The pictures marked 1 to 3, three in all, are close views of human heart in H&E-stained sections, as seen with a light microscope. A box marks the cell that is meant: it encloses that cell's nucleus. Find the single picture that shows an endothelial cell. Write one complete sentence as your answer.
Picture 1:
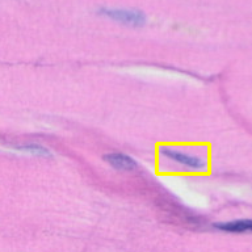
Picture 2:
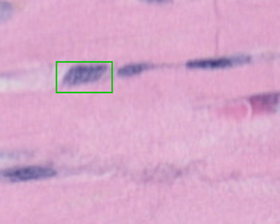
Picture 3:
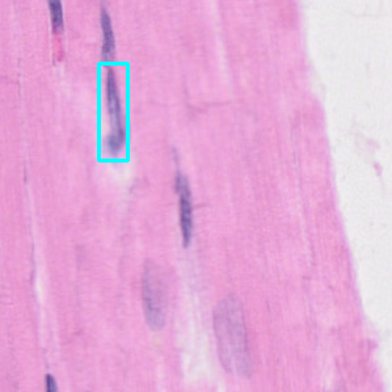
The cell in picture 3 is the endothelial cell.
